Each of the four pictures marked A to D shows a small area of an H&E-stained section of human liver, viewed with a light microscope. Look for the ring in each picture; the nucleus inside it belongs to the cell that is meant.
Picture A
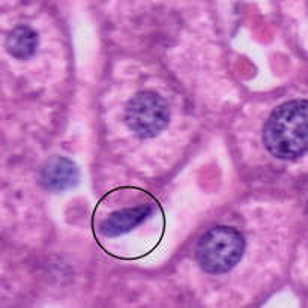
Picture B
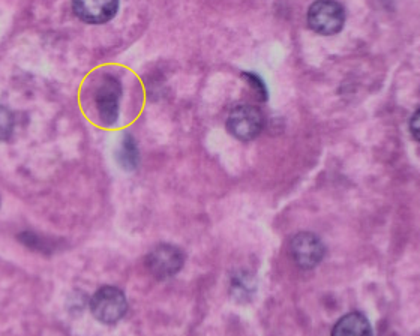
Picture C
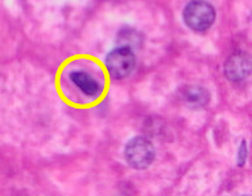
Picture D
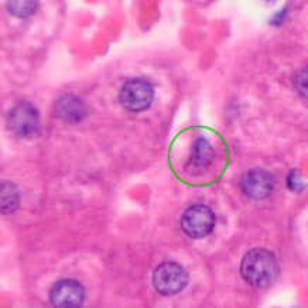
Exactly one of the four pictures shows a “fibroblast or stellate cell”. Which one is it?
C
